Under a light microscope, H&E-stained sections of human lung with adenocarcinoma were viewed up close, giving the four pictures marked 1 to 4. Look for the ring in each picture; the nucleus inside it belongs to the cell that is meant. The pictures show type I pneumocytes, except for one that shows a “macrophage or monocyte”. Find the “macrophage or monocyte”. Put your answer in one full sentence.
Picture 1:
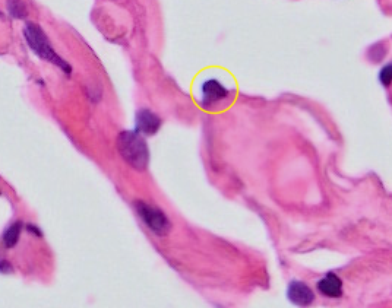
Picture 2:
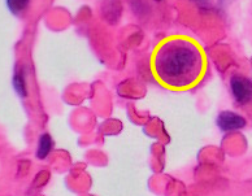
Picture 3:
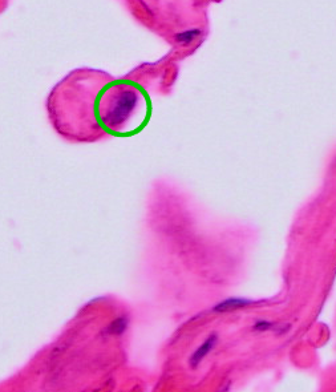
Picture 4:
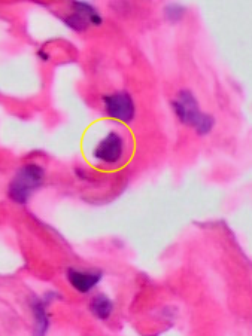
The picture with the “macrophage or monocyte” is 2.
